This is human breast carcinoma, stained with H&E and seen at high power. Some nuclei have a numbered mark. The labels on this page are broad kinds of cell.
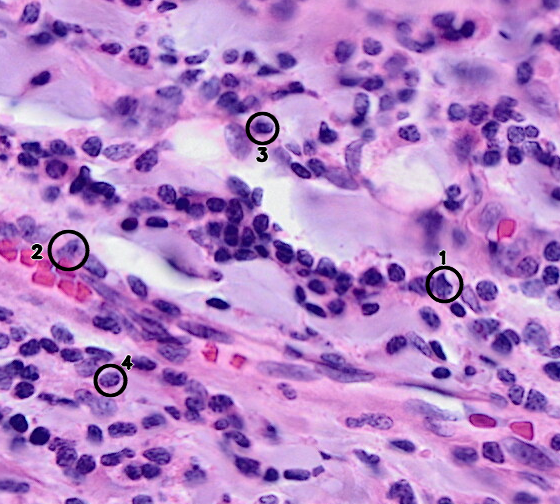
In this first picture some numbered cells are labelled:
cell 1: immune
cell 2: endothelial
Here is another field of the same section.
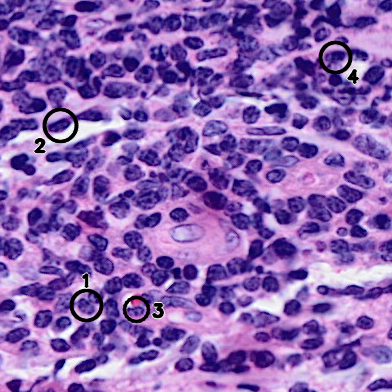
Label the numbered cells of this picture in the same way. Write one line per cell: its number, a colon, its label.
1: immune
2: immune
3: endothelial
4: immune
